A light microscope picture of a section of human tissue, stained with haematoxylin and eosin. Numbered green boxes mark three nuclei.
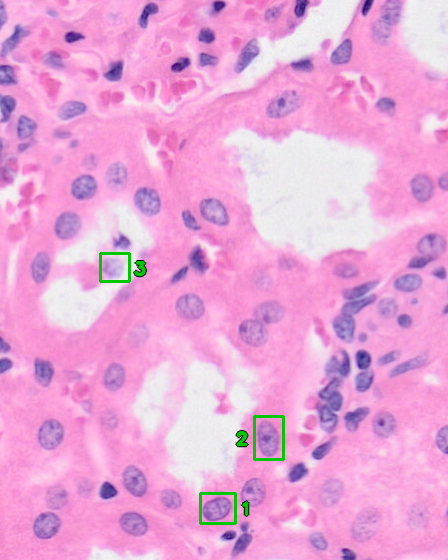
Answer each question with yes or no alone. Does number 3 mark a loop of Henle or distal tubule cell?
yes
